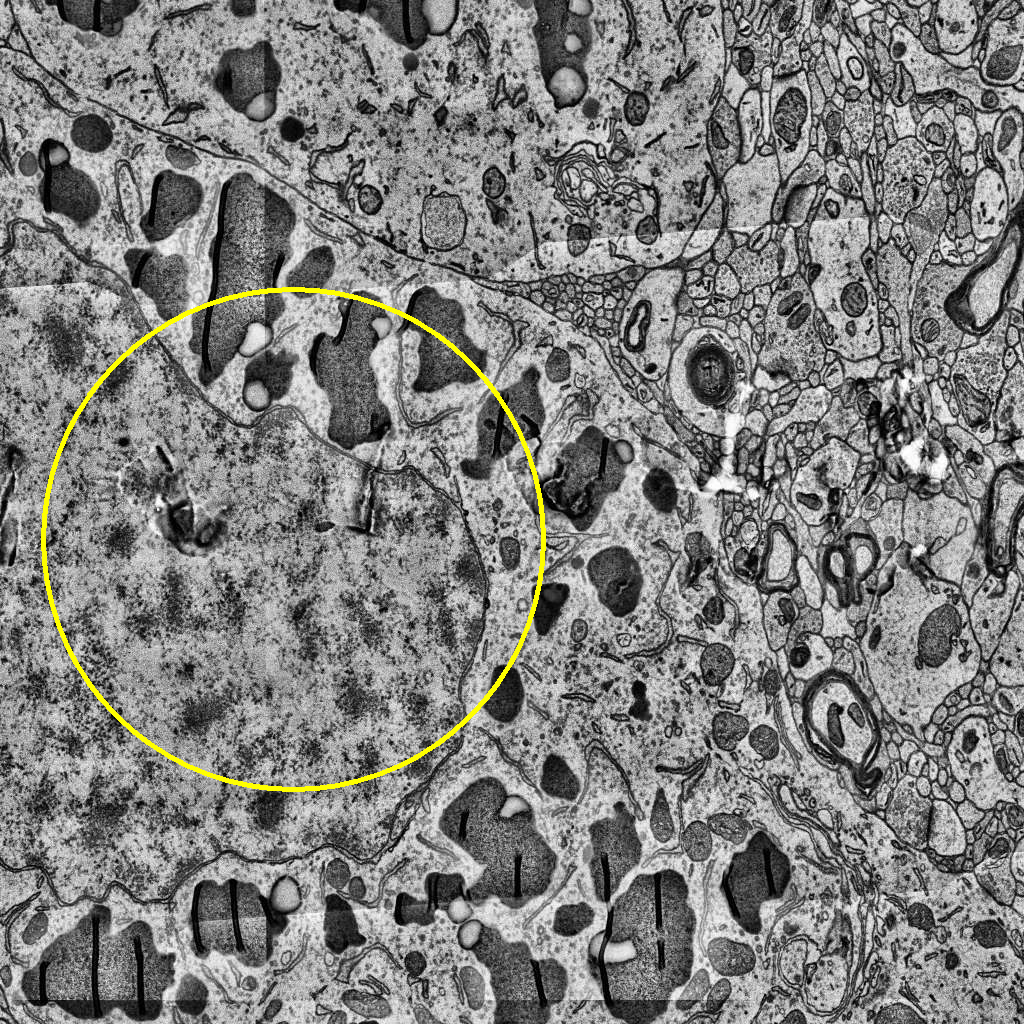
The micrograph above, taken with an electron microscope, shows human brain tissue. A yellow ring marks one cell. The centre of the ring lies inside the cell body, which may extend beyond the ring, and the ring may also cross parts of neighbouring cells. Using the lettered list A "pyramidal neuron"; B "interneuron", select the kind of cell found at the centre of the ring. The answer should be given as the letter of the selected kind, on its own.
B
